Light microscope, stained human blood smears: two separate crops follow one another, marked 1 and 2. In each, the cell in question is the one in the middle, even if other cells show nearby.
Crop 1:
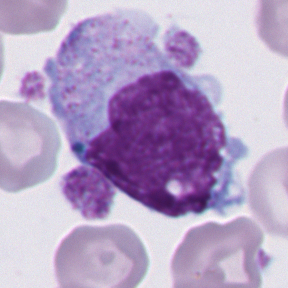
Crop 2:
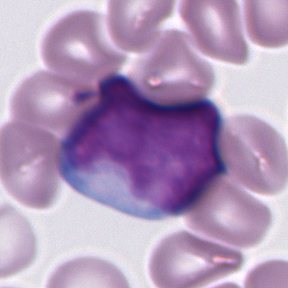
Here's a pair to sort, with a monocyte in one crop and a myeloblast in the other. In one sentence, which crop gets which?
Crop 1 has a monocyte at its centre, and crop 2 has a myeloblast.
